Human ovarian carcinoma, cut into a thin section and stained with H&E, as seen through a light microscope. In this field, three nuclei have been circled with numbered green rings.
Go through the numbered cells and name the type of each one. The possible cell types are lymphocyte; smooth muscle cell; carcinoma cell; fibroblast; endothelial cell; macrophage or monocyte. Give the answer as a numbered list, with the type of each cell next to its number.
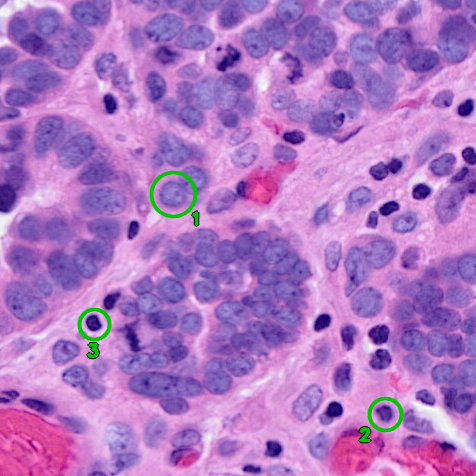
1. carcinoma cell
2. lymphocyte
3. lymphocyte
